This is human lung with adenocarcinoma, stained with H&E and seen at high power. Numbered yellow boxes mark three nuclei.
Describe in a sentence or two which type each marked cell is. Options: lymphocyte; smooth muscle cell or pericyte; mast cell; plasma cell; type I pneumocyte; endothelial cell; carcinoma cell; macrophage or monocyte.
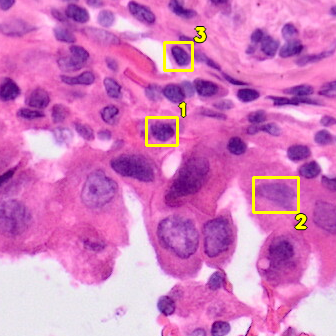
Cell 1 is a lymphocyte, cell 2 is a carcinoma cell and cell 3 is a lymphocyte.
